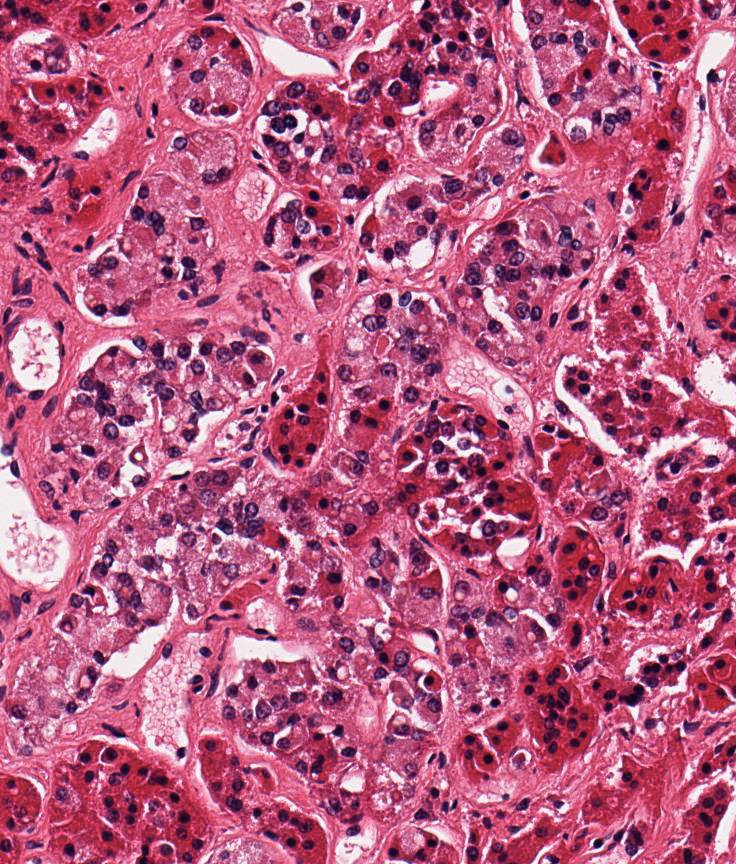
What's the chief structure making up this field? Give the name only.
pars distalis of the pituitary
